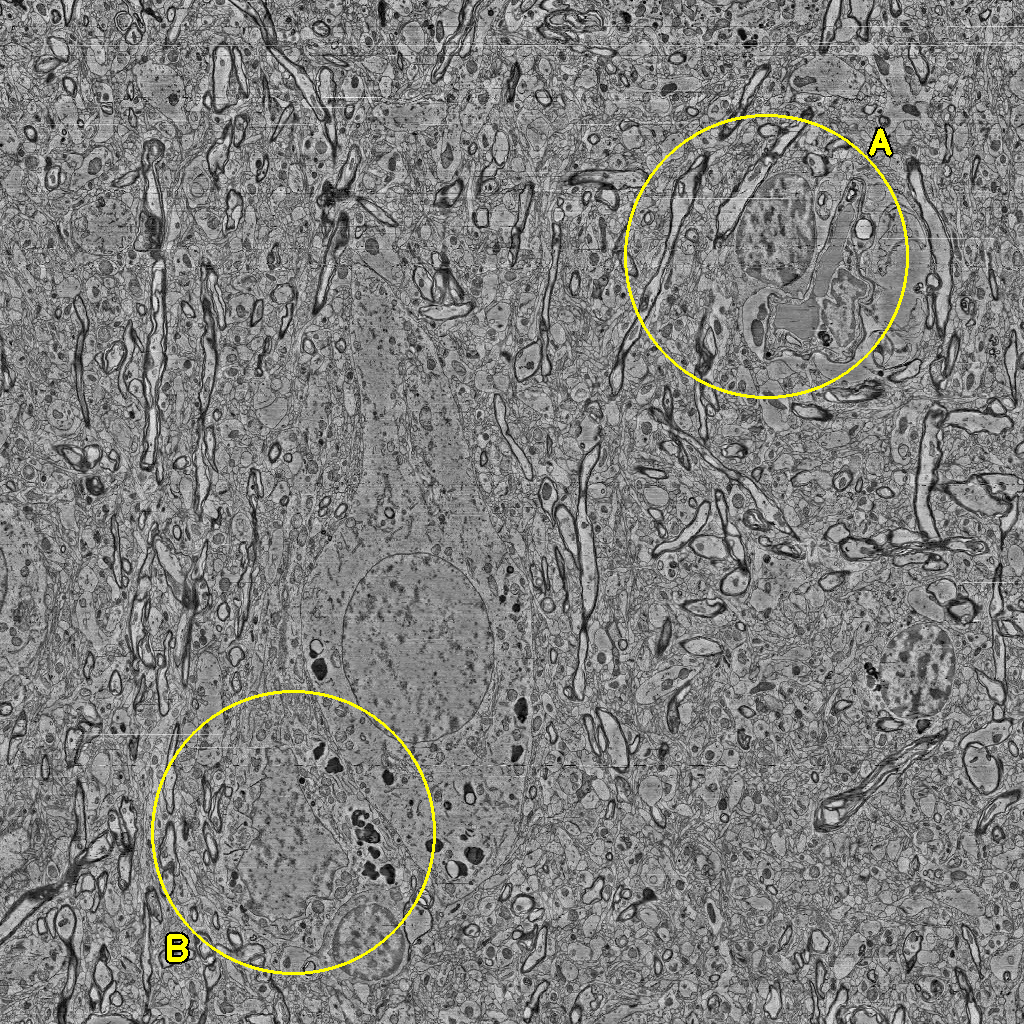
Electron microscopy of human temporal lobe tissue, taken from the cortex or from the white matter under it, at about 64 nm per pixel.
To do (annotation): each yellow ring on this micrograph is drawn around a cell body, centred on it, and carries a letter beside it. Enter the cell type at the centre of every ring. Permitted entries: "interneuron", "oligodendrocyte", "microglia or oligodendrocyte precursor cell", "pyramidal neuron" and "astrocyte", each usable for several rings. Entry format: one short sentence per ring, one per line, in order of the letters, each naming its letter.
Ring A: the cell at its centre is an oligodendrocyte.
Ring B: the cell at its centre is an interneuron.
